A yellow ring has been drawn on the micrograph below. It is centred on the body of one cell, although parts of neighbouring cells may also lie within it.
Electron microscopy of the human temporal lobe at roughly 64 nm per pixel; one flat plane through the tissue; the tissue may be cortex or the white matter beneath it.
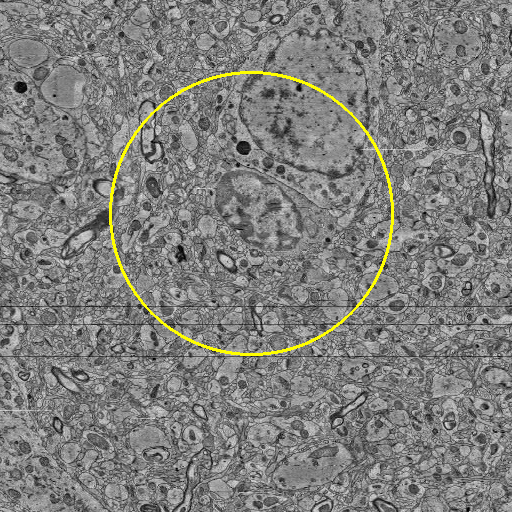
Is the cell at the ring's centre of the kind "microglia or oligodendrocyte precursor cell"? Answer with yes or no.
no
